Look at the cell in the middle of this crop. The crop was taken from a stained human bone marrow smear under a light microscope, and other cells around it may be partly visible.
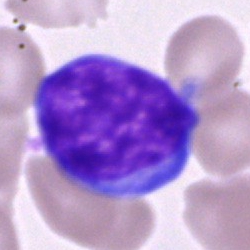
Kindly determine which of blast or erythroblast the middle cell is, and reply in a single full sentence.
As for the central cell, it is a blast.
